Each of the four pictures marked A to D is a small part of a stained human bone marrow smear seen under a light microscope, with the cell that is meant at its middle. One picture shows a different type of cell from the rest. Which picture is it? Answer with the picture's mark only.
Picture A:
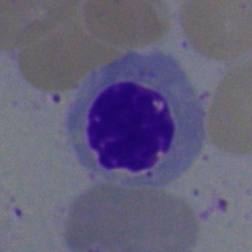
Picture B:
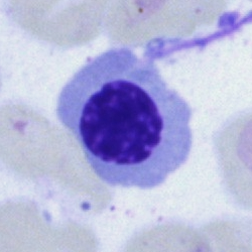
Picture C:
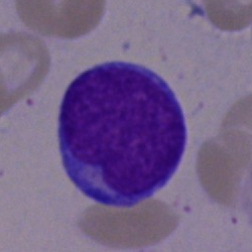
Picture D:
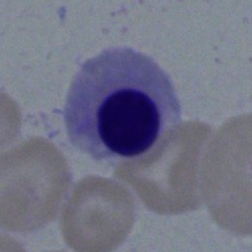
C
